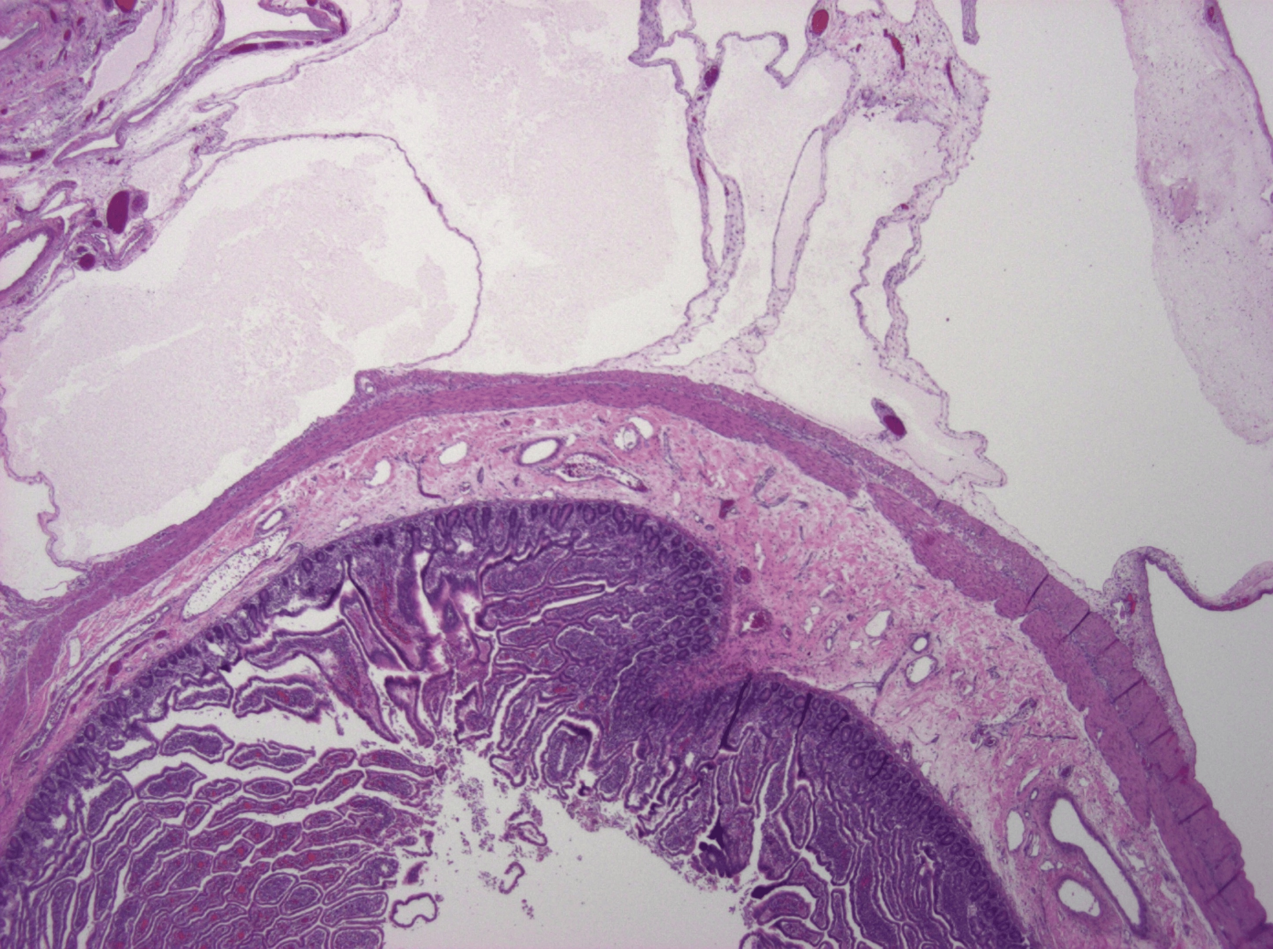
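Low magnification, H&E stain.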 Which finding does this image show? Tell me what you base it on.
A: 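Mesenteric lymphangioma. Multiple thin-walled cystic spaces lie above a segment of bowel wall. The cysts are filled with pale pink homogeneous material. Thin fibrous septa with small blood vessels separate the cysts.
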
